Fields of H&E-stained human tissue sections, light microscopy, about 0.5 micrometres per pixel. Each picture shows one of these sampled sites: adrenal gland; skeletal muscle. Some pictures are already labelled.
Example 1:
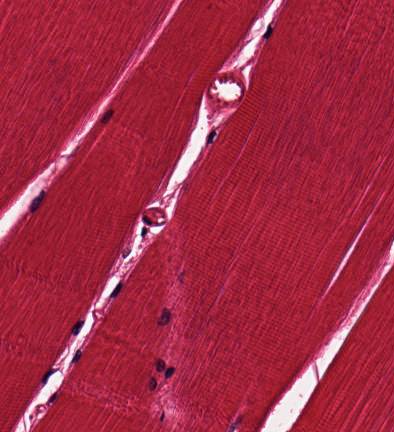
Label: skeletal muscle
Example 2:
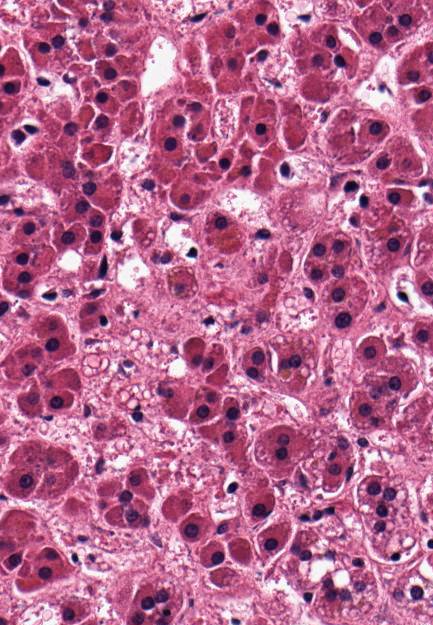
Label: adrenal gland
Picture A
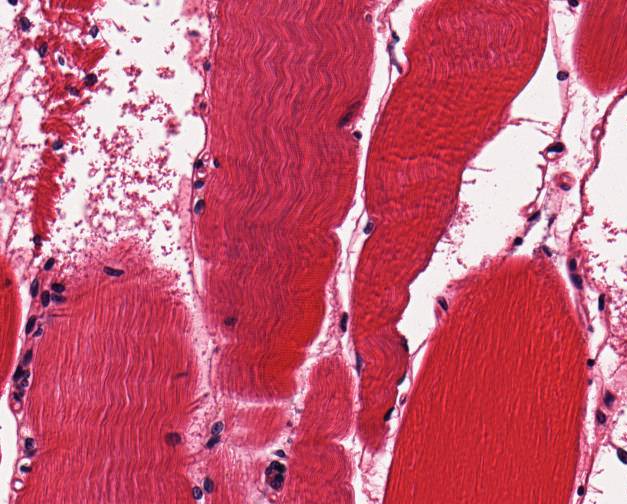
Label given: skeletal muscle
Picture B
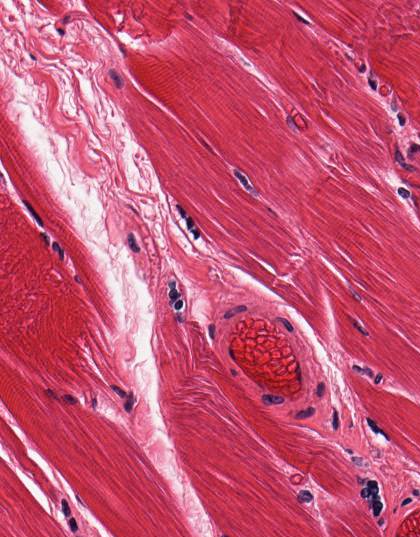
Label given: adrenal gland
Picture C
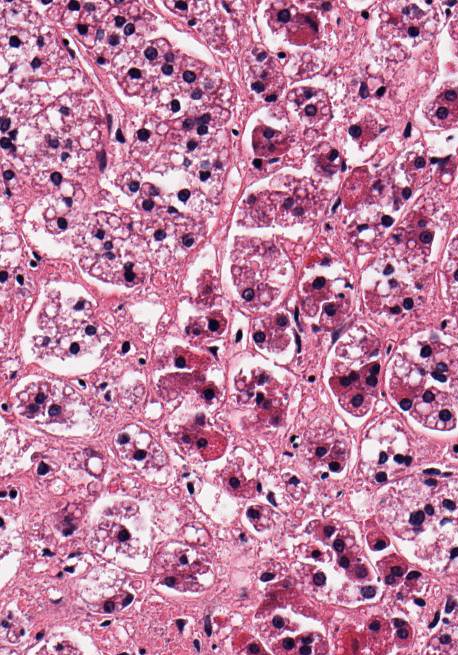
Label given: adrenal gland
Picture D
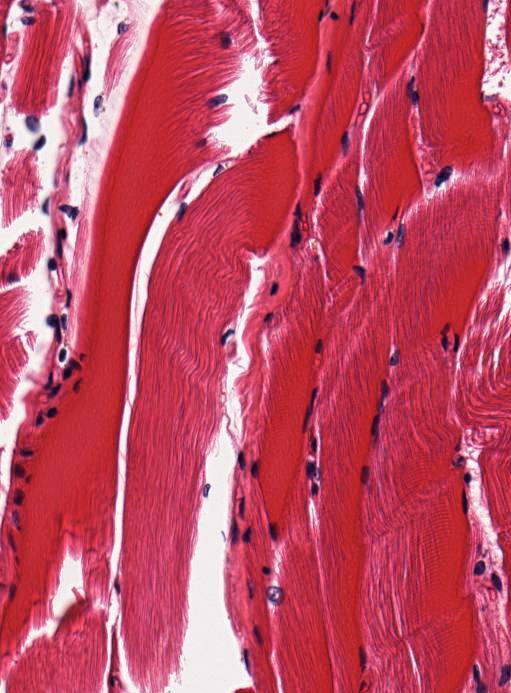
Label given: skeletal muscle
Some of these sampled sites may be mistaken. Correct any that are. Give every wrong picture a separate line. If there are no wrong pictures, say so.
B: skeletal muscle, not adrenal gland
